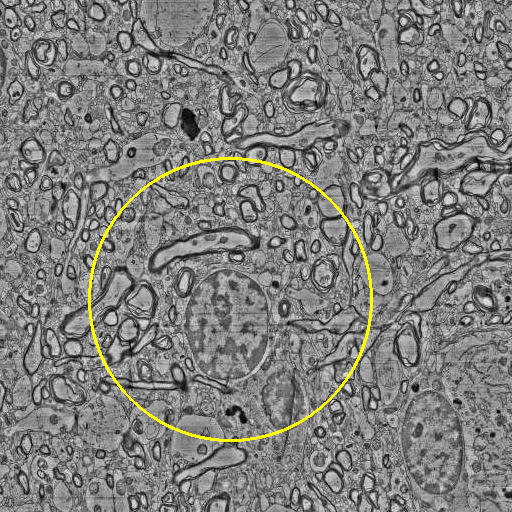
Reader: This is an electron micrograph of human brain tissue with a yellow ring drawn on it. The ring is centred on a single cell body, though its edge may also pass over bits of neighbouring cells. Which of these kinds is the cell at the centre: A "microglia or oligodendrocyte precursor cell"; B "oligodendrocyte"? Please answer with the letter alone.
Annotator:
A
